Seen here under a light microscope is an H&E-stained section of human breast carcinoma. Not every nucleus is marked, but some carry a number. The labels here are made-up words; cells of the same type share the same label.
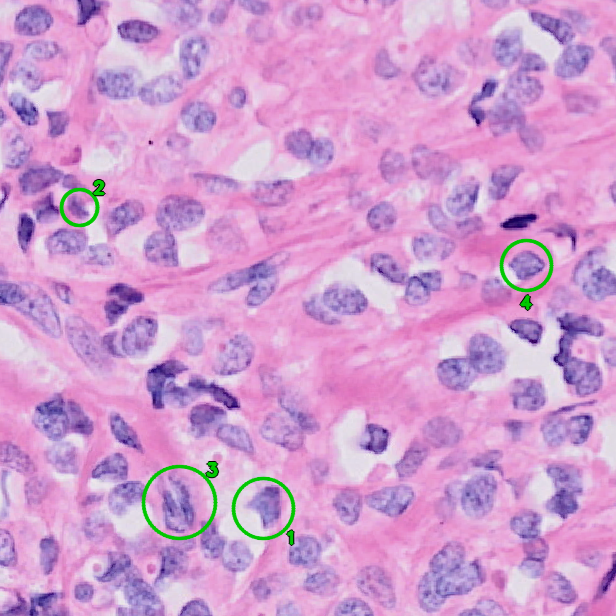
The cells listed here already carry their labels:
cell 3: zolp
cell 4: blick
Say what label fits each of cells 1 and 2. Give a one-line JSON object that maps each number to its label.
{"1": "blick", "2": "blick"}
